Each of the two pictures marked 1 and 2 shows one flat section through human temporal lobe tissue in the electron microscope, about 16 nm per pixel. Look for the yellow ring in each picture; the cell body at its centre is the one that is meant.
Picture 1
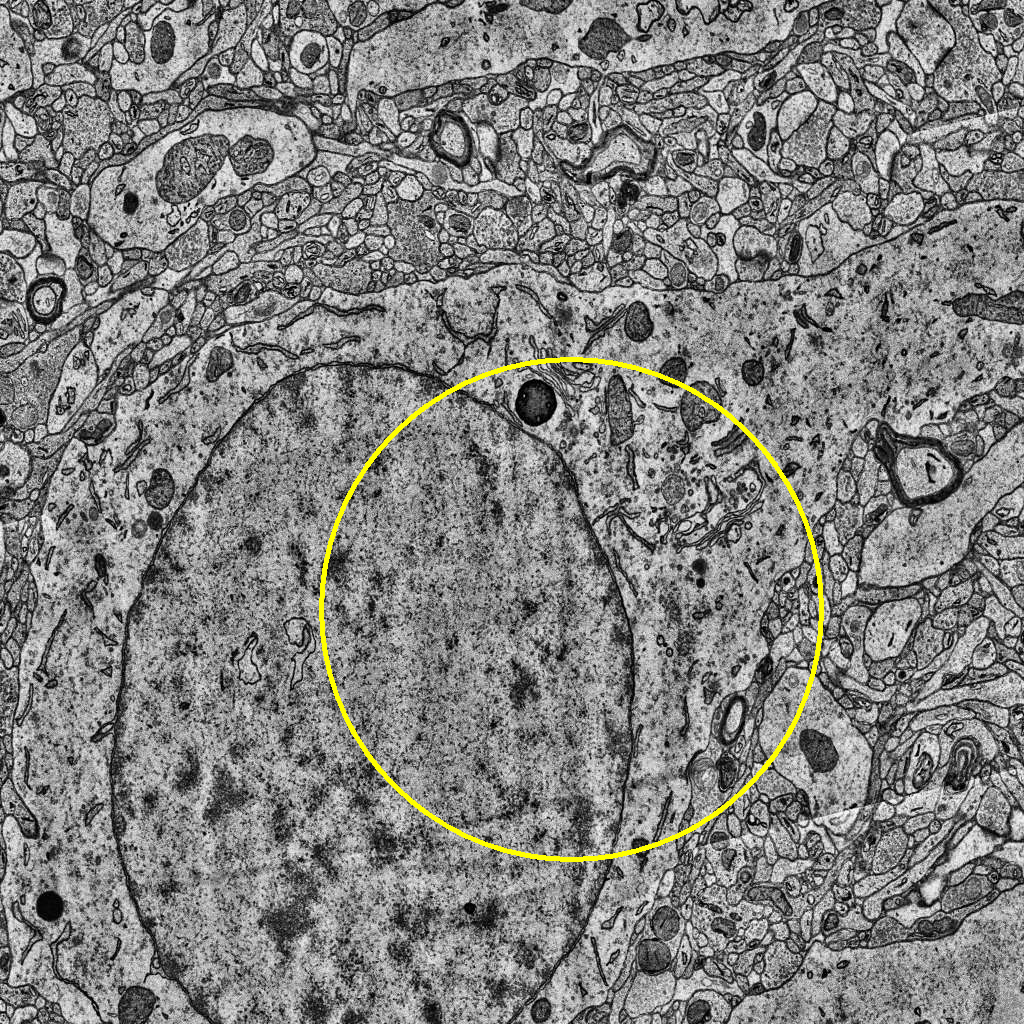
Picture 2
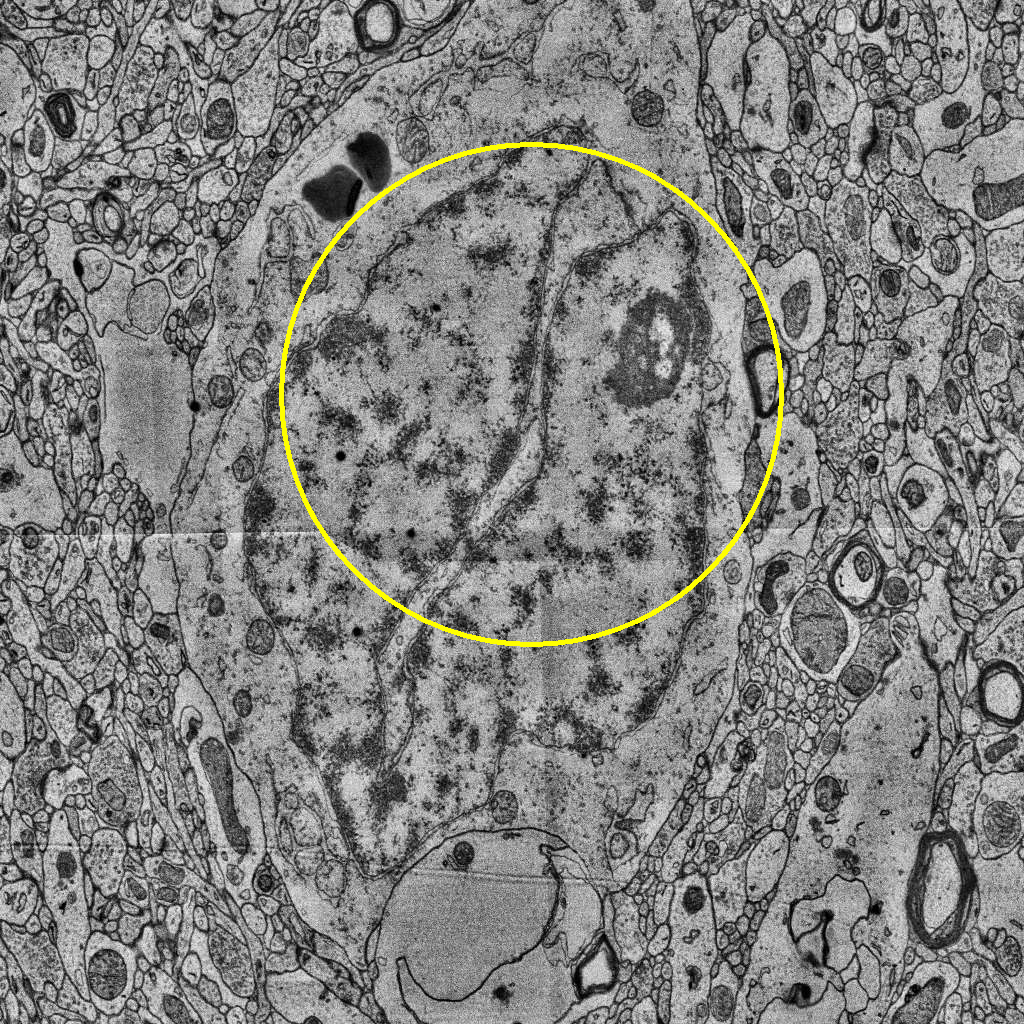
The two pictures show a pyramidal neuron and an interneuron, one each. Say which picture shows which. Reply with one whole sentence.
Picture 2 shows an interneuron, while picture 1 shows a pyramidal neuron.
